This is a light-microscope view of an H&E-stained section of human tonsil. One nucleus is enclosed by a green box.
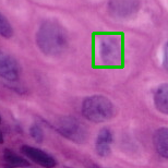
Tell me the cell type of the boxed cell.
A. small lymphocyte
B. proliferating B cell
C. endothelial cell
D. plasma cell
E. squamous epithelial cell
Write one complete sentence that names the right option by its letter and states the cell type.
Here the boxed cell is a squamous epithelial cell, which makes option E correct.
